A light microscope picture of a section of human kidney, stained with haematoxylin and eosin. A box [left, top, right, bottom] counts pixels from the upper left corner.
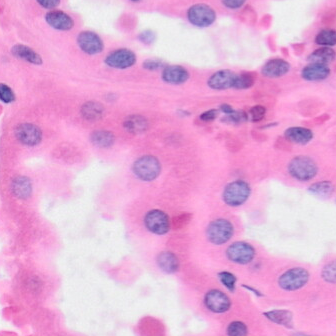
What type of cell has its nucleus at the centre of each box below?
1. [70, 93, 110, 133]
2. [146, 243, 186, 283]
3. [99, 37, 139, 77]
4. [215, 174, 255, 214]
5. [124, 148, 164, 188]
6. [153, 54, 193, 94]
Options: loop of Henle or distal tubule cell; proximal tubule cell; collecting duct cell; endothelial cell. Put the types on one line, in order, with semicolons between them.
proximal tubule cell; proximal tubule cell; loop of Henle or distal tubule cell; loop of Henle or distal tubule cell; proximal tubule cell; loop of Henle or distal tubule cell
